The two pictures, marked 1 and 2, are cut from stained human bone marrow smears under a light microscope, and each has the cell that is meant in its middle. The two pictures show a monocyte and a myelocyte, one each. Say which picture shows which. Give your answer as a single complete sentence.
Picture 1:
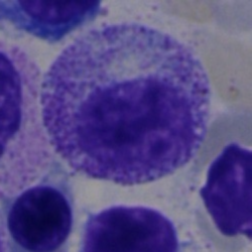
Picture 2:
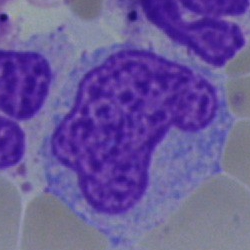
Picture 1 is of a myelocyte, and picture 2 is of a monocyte.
